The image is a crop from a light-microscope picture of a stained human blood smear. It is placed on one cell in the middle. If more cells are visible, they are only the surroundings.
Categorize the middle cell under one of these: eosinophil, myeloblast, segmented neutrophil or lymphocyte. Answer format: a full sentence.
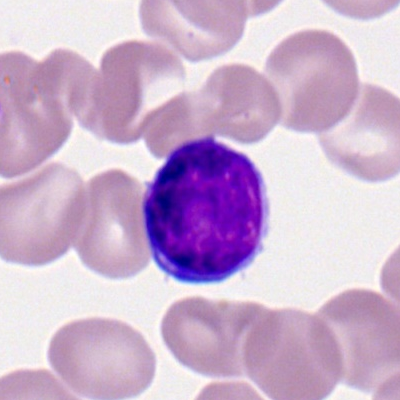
At the crop's centre, the cell is a lymphocyte.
